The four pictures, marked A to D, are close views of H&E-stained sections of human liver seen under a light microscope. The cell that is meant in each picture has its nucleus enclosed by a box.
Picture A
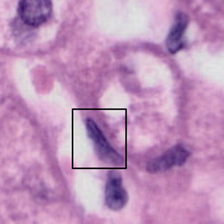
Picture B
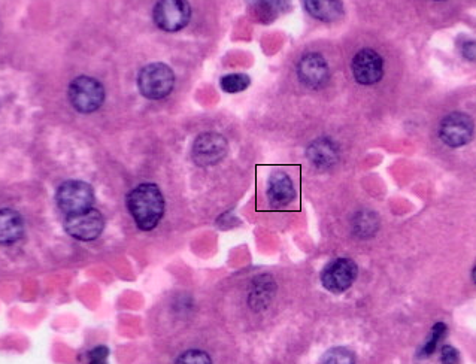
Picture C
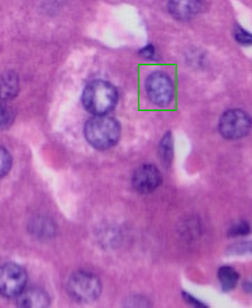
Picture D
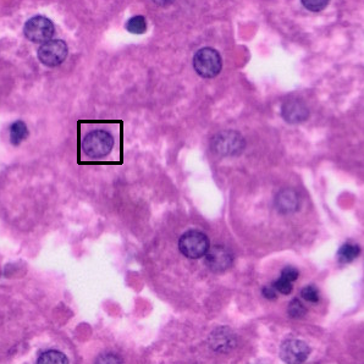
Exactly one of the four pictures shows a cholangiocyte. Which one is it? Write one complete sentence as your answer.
The cell in picture C is the cholangiocyte.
